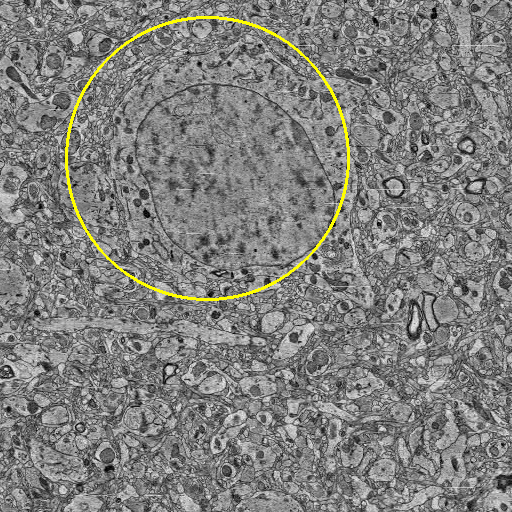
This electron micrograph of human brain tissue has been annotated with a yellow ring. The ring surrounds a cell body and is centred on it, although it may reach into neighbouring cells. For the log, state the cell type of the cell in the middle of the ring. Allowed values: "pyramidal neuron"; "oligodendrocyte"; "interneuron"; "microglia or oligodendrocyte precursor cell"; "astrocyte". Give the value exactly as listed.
pyramidal neuron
